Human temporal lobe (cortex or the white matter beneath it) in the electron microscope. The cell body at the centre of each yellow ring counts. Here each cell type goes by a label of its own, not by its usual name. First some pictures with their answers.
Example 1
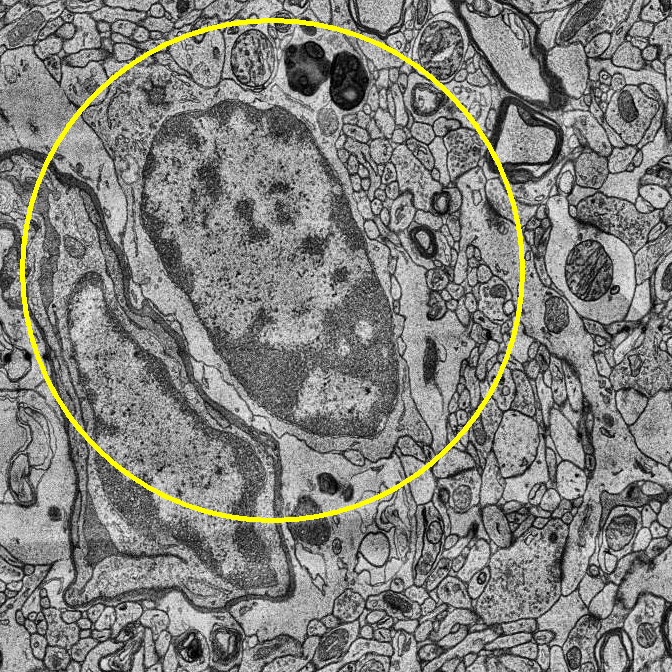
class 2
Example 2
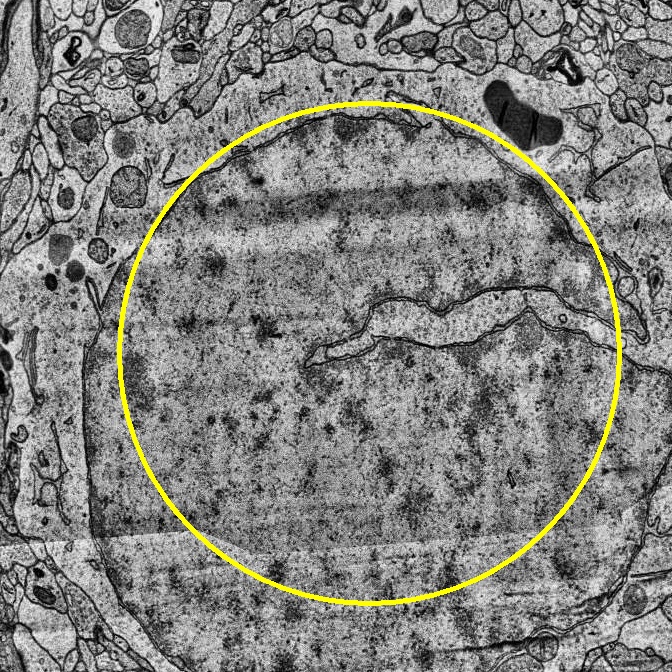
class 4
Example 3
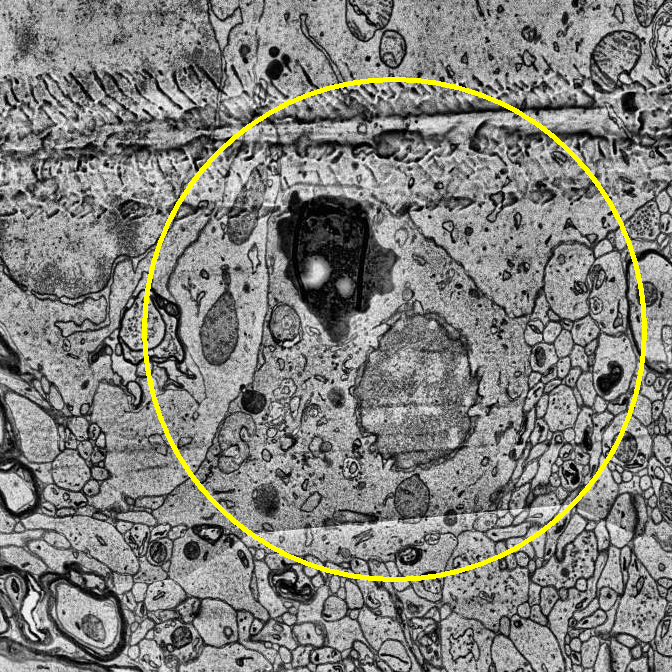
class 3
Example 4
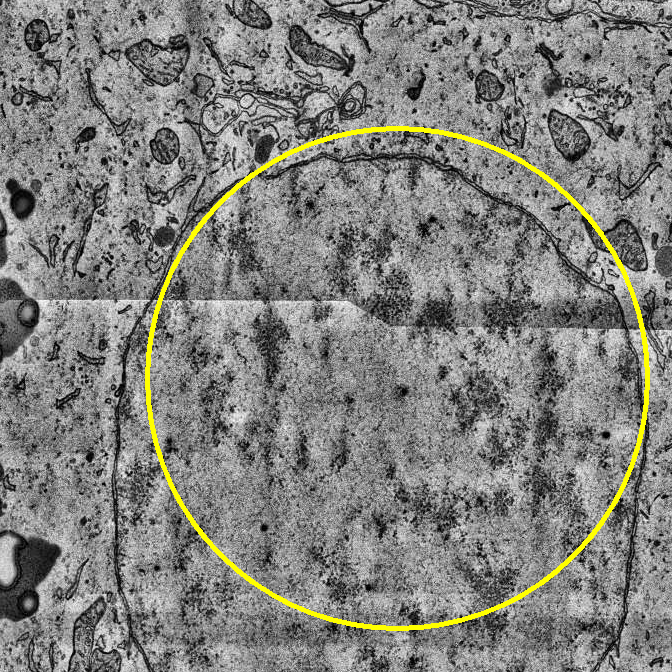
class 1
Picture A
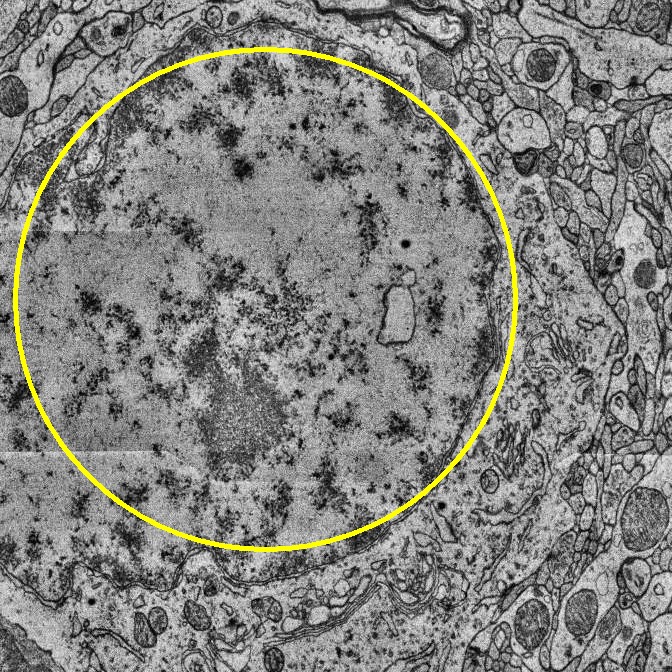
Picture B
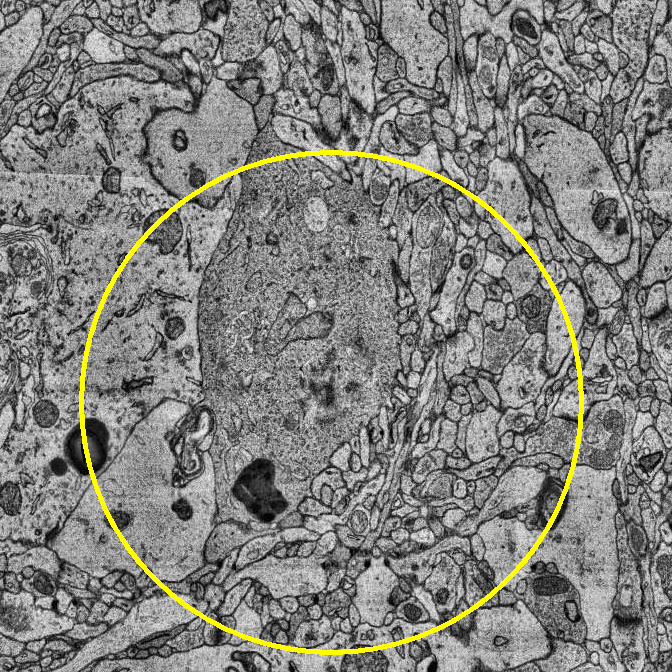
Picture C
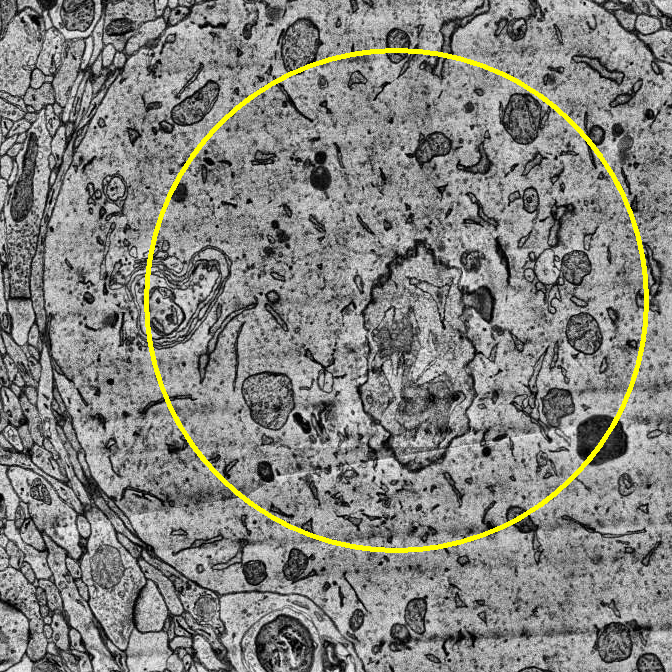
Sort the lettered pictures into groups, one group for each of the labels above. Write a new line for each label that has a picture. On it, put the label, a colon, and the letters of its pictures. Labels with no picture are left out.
class 4: A
class 3: B, C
